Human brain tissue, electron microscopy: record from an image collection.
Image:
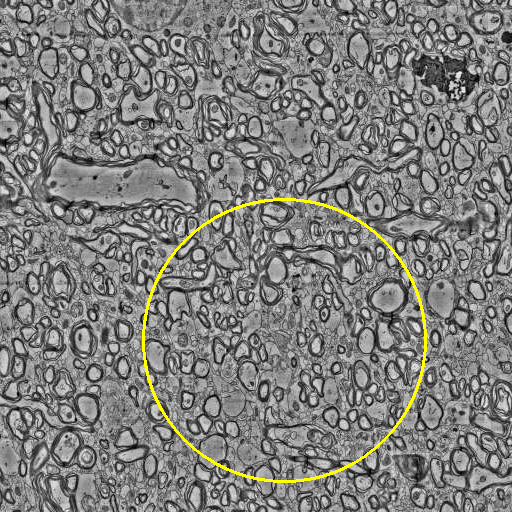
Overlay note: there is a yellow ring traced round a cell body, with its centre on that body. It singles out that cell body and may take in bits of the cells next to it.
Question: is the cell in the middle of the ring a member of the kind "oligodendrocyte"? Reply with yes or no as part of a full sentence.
No, the image's ringed cell, the one at the ring's centre, is a member of another kind.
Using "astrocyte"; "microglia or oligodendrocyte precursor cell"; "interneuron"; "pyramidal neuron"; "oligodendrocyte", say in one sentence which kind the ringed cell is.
Sitting at the ring centre is a microglial cell or oligodendrocyte precursor cell.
